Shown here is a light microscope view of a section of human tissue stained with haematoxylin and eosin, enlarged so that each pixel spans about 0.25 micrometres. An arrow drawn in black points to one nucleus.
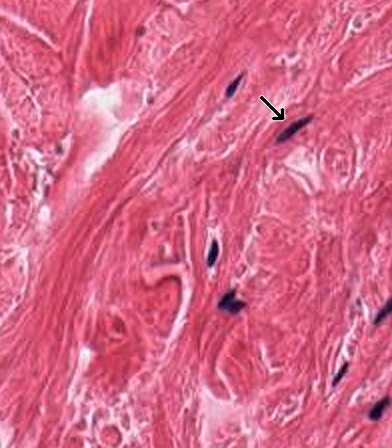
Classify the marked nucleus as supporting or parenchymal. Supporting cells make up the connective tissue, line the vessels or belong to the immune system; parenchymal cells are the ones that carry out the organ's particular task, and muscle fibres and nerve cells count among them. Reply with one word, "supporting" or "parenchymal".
supporting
